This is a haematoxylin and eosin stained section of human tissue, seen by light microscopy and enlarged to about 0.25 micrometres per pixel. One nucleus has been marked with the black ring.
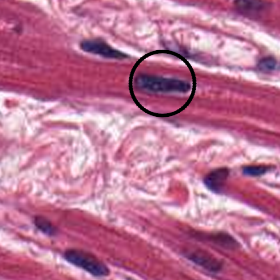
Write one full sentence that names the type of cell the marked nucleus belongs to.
The cell bearing the marked nucleus is a cardiomyocyte.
